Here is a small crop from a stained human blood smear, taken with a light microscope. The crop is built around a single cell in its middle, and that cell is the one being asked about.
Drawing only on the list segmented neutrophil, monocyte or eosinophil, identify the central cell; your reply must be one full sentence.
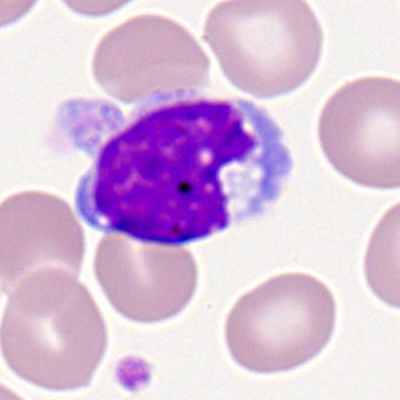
The cell shown in the center of this light-microscope crop is a monocyte.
